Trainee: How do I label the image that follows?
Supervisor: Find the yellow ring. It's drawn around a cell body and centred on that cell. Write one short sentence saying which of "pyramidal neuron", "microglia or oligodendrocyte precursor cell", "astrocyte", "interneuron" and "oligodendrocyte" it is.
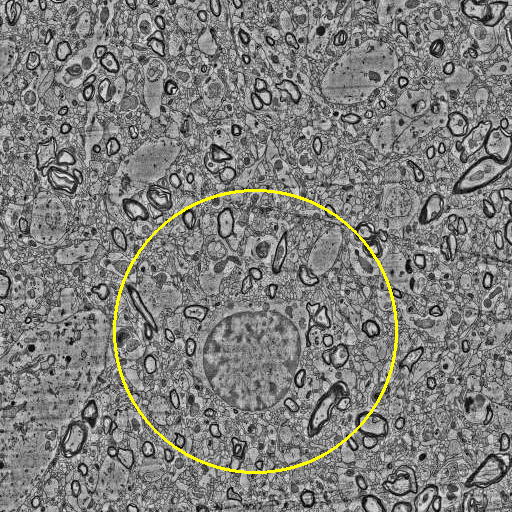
This is the cell body of an oligodendrocyte.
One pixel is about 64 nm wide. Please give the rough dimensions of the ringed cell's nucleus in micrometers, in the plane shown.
Roughly 7 micrometers across in this plane.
